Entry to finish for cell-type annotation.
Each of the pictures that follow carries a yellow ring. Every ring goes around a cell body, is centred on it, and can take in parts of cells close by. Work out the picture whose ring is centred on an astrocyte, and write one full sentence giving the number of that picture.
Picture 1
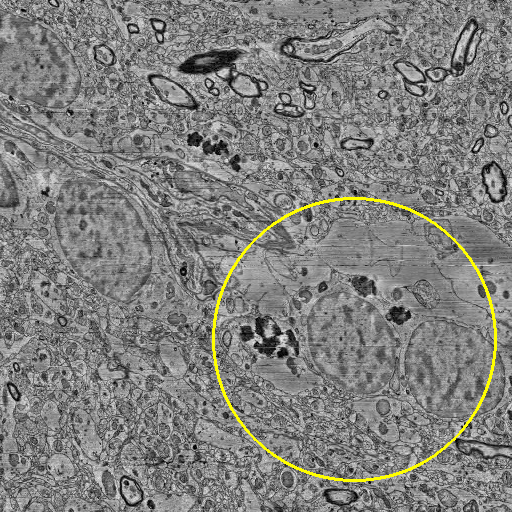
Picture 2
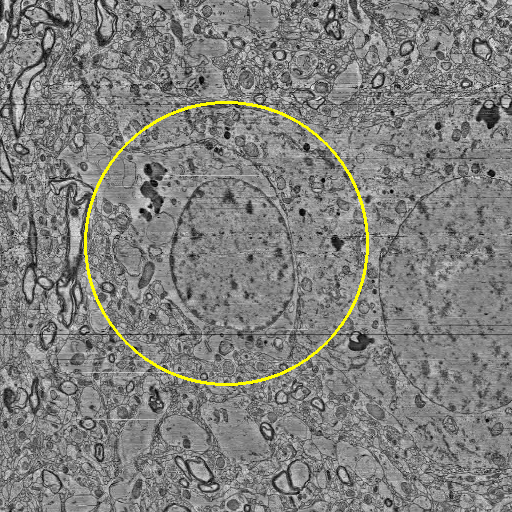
The cell at the heart of the ring in picture 2 matches the request.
